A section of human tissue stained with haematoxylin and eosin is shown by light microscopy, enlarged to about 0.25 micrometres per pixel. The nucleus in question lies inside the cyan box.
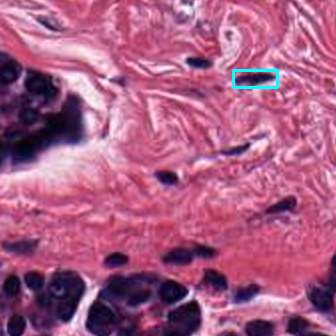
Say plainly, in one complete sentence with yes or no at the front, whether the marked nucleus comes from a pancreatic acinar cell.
No, a supporting cell rather than a pancreatic acinar cell is the cell of the marked nucleus.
